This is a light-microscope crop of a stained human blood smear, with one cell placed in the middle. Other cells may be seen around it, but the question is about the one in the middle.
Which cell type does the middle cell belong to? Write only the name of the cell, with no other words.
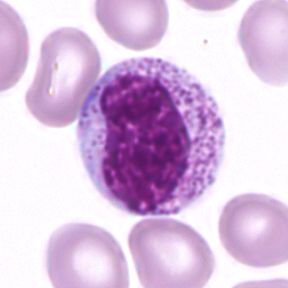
metamyelocyte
